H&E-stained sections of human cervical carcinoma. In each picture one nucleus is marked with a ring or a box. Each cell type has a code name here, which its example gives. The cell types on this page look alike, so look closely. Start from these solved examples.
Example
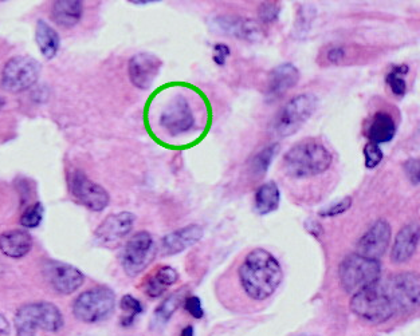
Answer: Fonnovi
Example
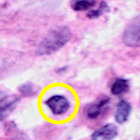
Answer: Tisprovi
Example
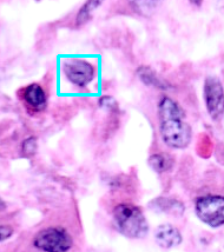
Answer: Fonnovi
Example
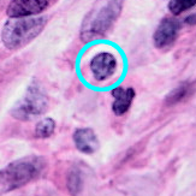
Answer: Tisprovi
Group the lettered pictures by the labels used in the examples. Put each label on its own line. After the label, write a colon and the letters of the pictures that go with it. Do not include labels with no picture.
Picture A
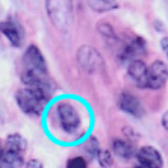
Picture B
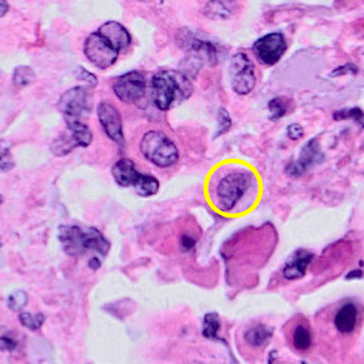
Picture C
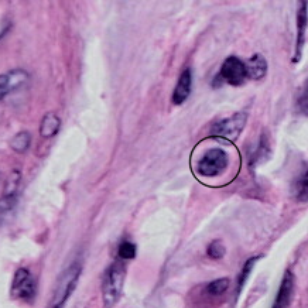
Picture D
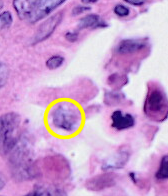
Fonnovi: B, D
Tisprovi: A, C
